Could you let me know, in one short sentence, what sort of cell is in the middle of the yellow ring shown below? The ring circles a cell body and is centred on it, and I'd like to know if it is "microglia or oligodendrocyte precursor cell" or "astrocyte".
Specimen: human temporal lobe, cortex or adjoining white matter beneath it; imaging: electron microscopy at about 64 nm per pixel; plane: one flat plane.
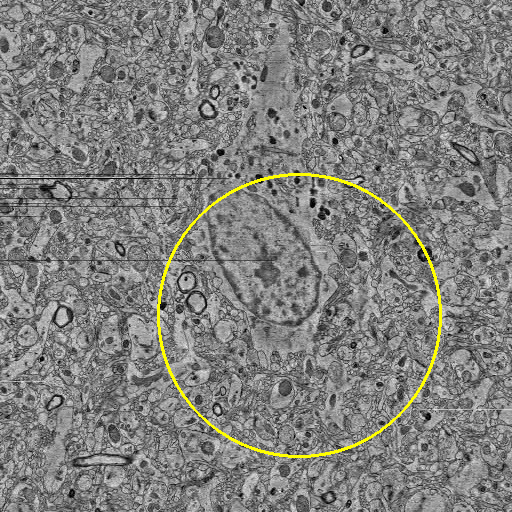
The ring circles the cell body of a microglial cell or oligodendrocyte precursor cell.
